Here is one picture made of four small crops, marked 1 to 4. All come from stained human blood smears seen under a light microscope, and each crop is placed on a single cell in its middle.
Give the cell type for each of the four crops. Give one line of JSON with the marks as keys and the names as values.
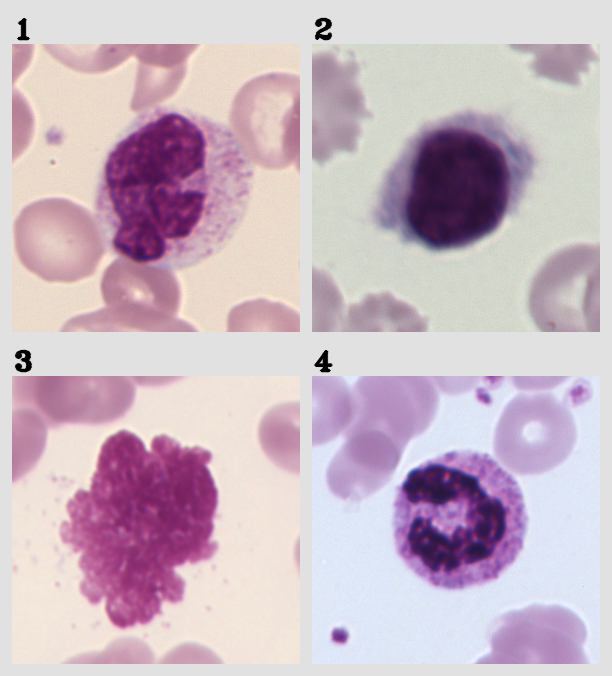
{"1": "segmented neutrophil", "2": "hairy cell", "3": "smudge cell", "4": "segmented neutrophil"}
